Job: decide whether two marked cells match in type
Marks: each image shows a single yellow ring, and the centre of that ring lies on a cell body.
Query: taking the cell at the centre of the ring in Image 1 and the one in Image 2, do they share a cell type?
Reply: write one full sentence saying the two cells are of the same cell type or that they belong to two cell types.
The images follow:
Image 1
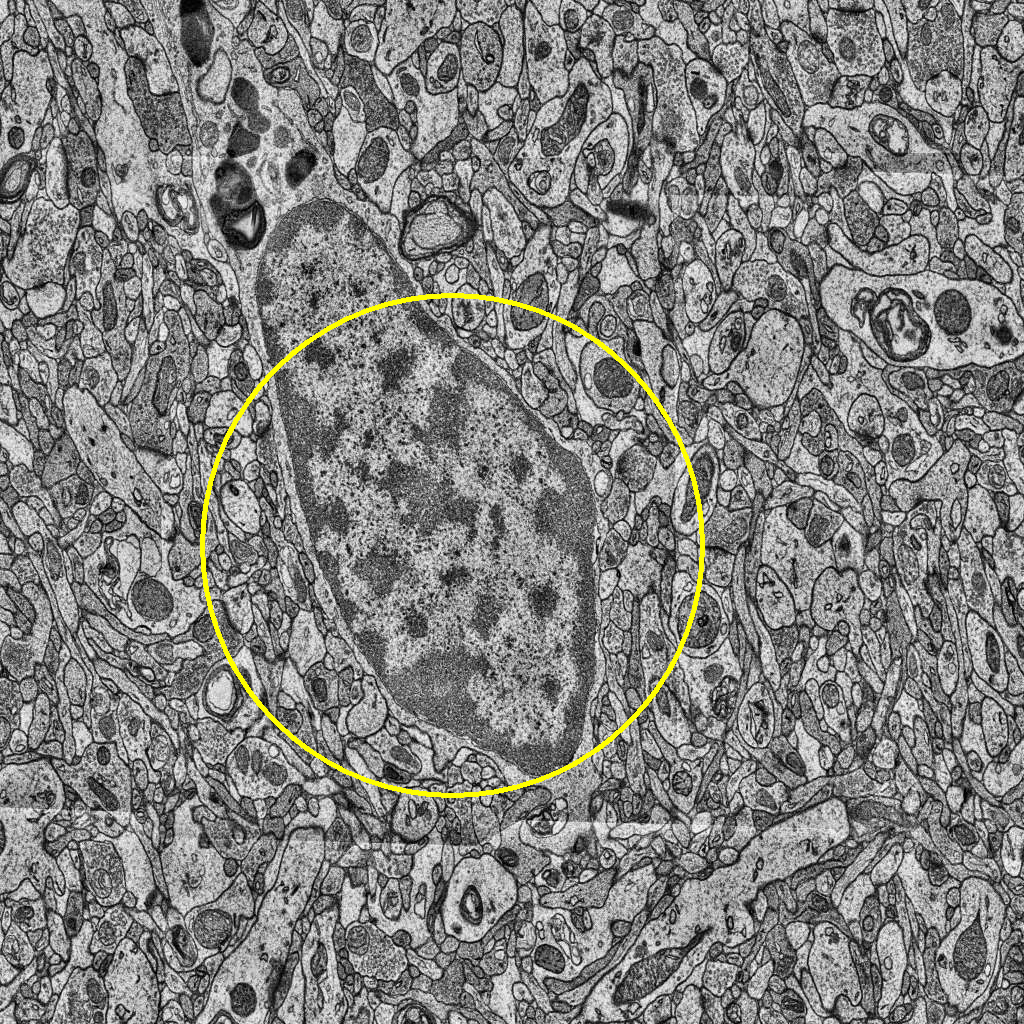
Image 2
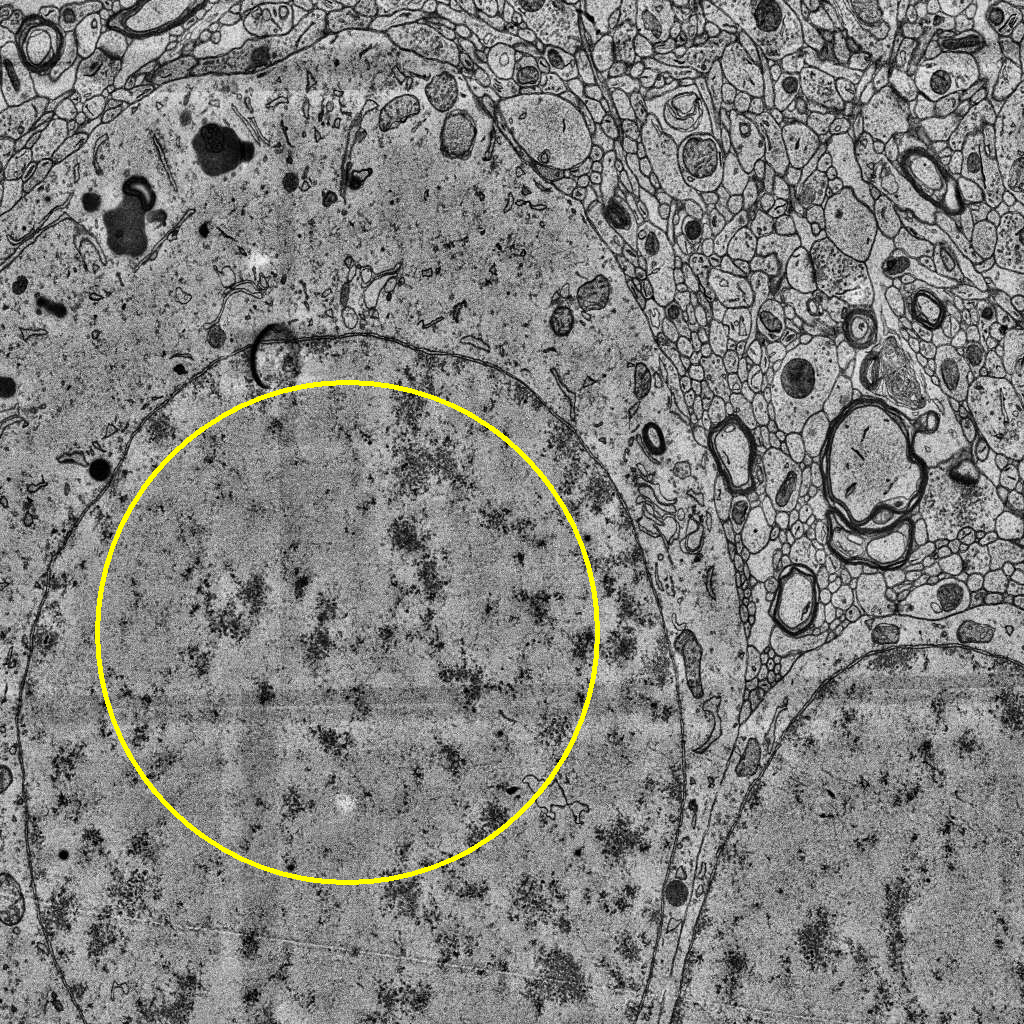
The cells at the ring centres in Image 1 and Image 2 belong to two cell types.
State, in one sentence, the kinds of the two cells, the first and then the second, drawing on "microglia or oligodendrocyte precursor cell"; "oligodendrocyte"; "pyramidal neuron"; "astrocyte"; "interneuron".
The first ring encloses a microglial cell or oligodendrocyte precursor cell; the second ring encloses a pyramidal neuron.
